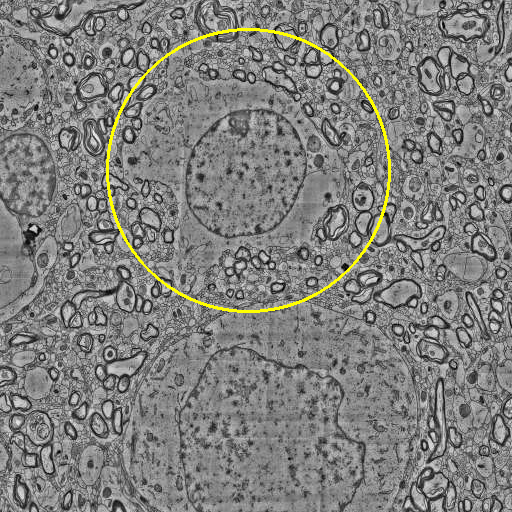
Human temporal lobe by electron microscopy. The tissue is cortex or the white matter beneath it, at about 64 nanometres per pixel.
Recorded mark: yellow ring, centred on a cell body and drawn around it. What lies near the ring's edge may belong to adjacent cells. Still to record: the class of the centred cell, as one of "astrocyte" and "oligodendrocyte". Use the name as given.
astrocyte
